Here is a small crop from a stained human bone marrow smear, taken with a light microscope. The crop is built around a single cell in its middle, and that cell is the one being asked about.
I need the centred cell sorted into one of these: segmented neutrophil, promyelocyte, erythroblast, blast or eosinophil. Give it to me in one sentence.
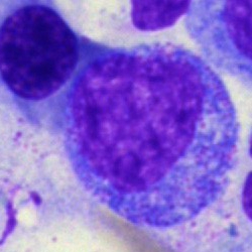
The cell positioned in the middle of the field is a promyelocyte.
